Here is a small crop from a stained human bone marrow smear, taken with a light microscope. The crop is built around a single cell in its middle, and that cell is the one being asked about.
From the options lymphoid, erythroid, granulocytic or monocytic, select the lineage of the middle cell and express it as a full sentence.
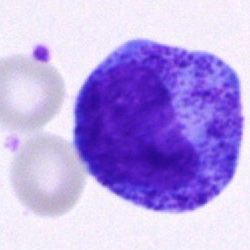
The centered cell should be recorded as belonging to the granulocytic lineage.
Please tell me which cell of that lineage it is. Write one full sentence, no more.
Among the cells in view, the one in the middle is a promyelocyte.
